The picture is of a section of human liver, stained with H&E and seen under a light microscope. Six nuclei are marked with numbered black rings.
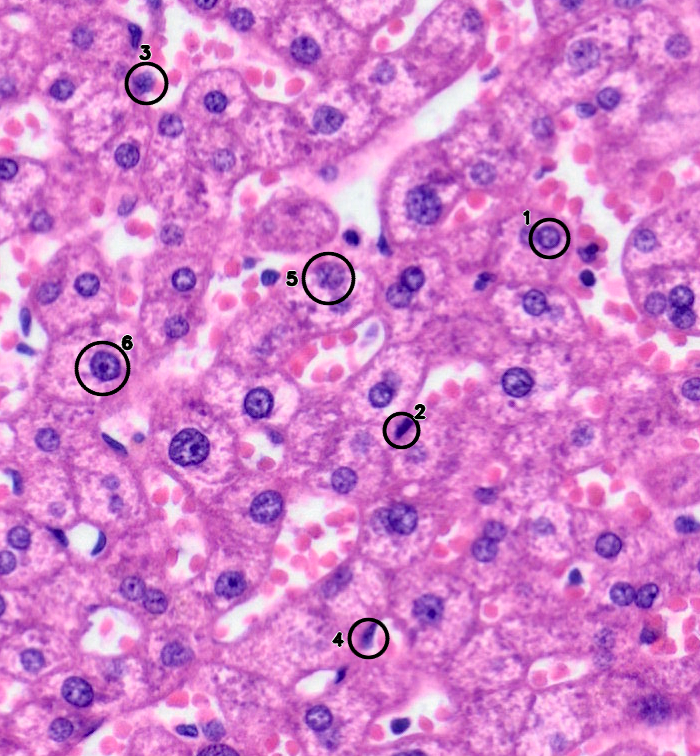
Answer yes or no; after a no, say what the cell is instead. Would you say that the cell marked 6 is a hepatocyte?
Yes.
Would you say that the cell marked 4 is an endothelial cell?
Yes.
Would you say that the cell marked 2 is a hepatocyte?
No, it is a fibroblast or stellate cell.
